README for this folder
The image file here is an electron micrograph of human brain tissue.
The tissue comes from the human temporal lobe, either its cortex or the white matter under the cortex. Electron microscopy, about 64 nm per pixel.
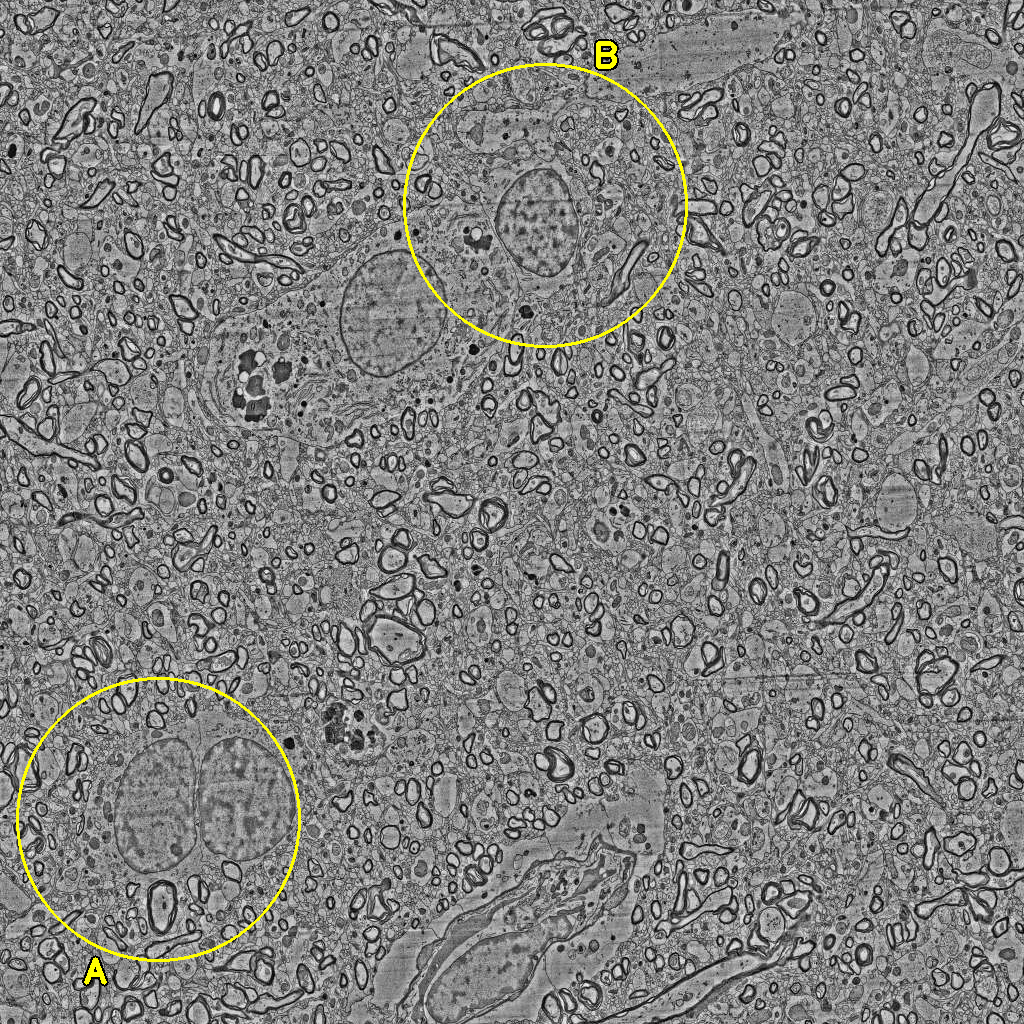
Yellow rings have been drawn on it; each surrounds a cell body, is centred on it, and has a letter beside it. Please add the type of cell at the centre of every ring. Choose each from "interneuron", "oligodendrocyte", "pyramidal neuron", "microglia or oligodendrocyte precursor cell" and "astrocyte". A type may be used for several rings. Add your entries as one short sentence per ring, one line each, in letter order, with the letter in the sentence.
Ring A marks the cell body of an oligodendrocyte.
Ring B marks the cell body of a microglial cell or oligodendrocyte precursor cell.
